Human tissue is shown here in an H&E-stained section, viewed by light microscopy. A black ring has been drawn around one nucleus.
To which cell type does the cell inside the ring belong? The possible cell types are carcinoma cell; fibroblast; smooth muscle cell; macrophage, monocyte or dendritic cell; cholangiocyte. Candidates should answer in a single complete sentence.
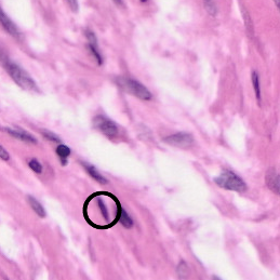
Among the cells in this section, the cell inside the ring is a fibroblast.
